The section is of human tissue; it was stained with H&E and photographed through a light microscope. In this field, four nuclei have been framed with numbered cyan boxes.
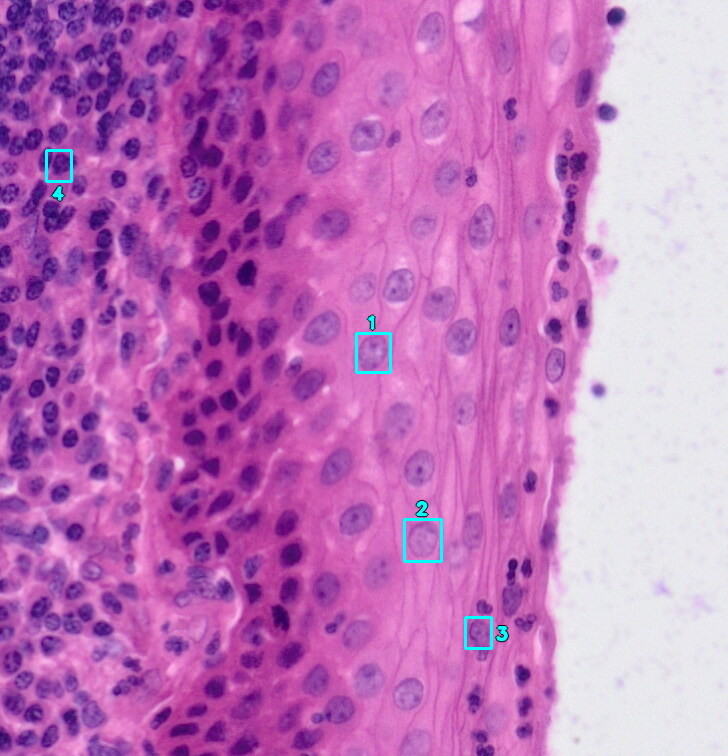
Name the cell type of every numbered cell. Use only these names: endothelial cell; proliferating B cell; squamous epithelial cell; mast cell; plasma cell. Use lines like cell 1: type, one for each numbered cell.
cell 1: squamous epithelial cell
cell 2: squamous epithelial cell
cell 3: squamous epithelial cell
cell 4: plasma cell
